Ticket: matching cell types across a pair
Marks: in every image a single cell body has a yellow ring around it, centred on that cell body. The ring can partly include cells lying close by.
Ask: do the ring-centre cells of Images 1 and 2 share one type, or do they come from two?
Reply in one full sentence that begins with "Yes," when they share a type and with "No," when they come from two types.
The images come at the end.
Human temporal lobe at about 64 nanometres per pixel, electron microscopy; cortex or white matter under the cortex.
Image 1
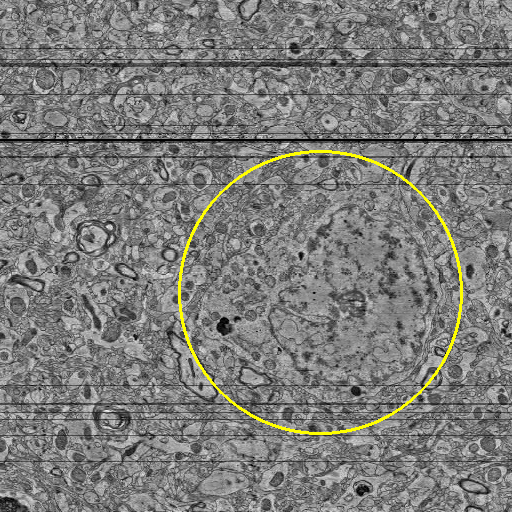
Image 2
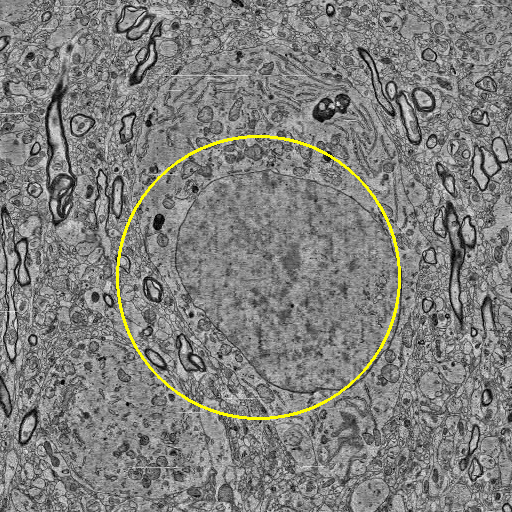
Yes, the cells in the centres of the rings in Image 1 and Image 2 share one type.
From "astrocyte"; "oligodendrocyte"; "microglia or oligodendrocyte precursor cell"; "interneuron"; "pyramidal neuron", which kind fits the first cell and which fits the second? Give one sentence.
Each cell at the centre of a ring is an interneuron.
